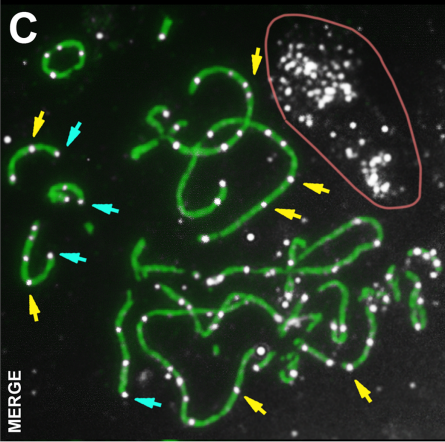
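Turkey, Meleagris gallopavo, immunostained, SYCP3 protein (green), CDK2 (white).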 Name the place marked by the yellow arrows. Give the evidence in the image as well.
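Interstitial. The yellow arrows point to white dots sitting along the middle of green threads, away from their ends.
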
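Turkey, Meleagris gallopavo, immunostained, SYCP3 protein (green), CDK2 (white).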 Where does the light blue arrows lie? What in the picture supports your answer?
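The light blue arrows point to white dots lying at the ends of green threads.
Hence: telomeric.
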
